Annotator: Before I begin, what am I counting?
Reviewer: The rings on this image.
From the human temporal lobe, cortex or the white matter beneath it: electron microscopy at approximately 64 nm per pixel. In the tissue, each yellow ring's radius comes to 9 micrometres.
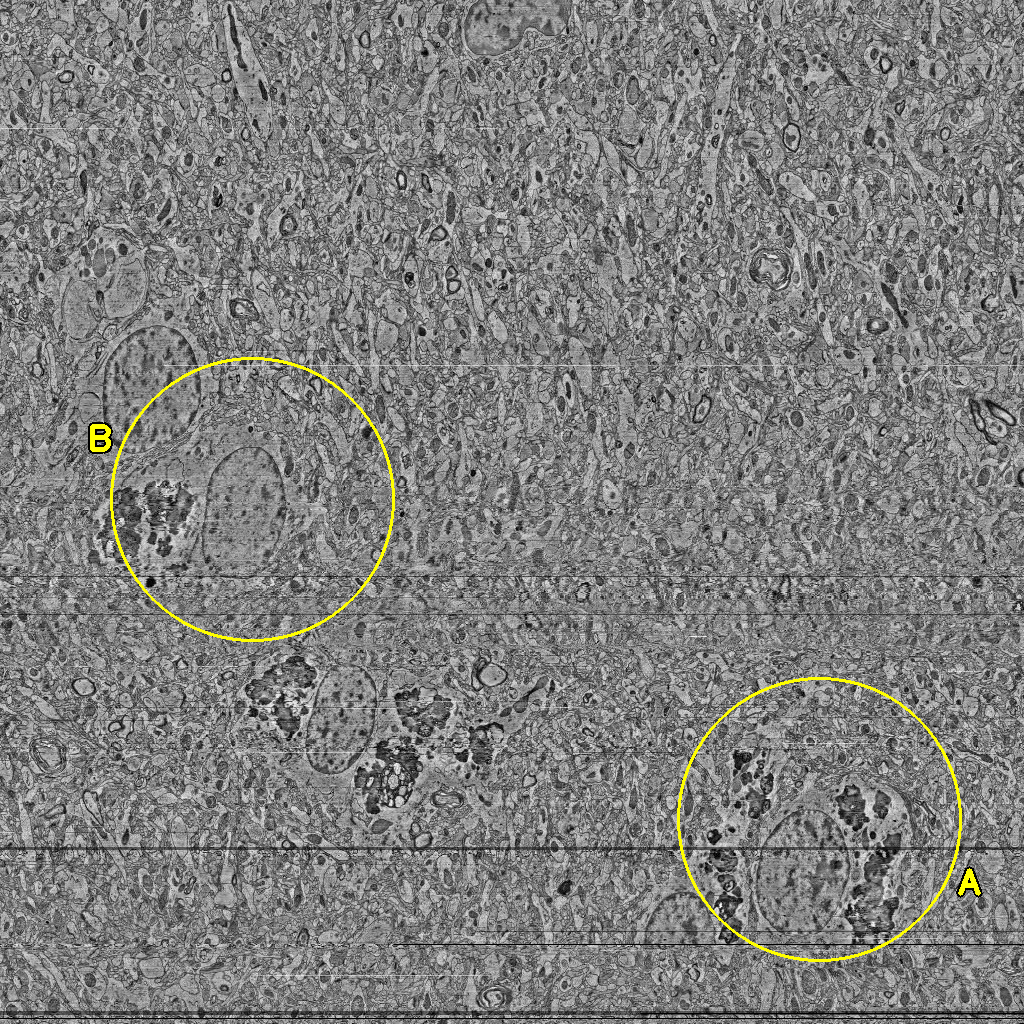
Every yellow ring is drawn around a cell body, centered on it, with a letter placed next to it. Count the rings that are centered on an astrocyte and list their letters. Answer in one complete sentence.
The rings that are each centred on an astrocyte total two and bear the letters A and B.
